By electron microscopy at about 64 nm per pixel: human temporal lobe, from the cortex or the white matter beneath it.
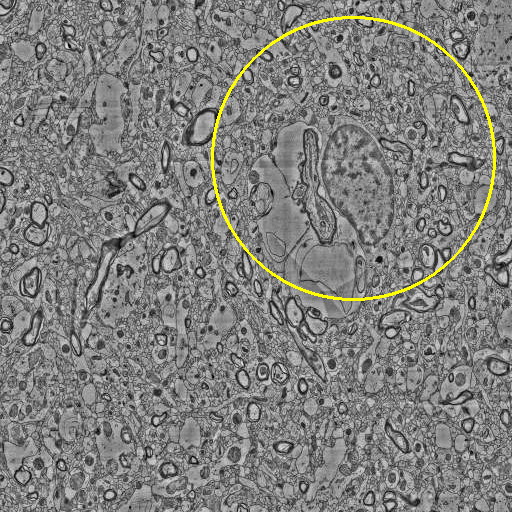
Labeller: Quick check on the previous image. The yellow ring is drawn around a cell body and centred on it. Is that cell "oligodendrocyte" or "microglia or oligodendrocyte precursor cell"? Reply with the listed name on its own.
oligodendrocyte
